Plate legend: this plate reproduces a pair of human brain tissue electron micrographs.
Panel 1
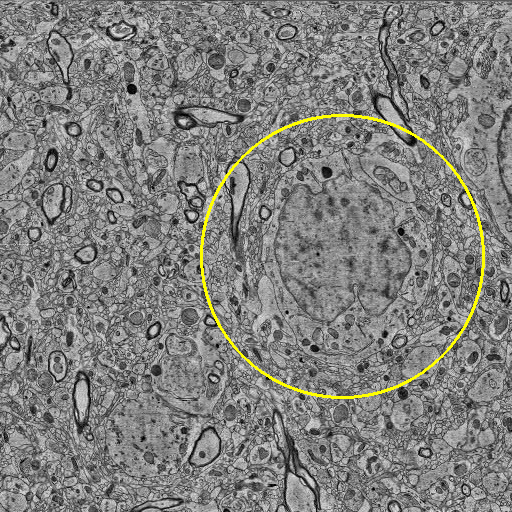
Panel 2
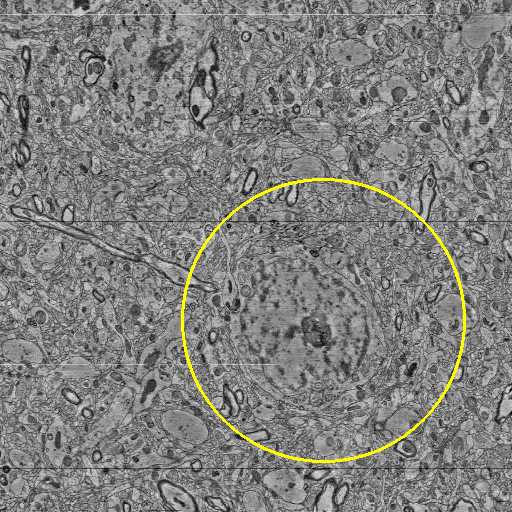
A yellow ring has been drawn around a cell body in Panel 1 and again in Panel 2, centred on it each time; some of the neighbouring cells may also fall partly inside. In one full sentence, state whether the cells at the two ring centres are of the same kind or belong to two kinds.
The ring-centred cells of Panel 1 and Panel 2 are of the same kind.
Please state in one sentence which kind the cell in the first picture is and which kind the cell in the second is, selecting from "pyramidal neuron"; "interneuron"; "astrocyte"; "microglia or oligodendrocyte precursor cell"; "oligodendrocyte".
The cell in the first picture is an interneuron, and so is the one in the second.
